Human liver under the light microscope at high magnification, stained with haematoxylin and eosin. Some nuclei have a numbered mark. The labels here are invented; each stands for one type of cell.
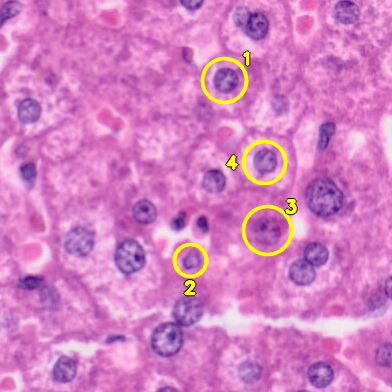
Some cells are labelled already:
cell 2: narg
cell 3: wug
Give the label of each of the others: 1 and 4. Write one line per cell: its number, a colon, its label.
1: wug
4: wug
